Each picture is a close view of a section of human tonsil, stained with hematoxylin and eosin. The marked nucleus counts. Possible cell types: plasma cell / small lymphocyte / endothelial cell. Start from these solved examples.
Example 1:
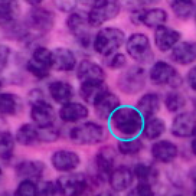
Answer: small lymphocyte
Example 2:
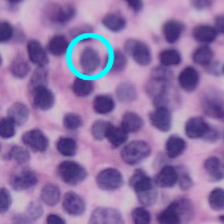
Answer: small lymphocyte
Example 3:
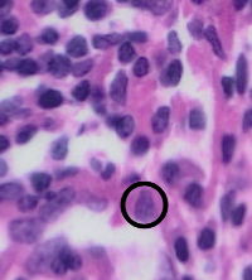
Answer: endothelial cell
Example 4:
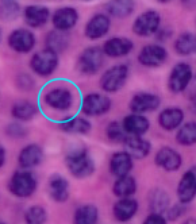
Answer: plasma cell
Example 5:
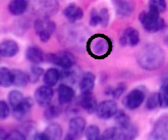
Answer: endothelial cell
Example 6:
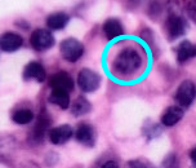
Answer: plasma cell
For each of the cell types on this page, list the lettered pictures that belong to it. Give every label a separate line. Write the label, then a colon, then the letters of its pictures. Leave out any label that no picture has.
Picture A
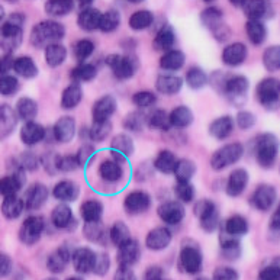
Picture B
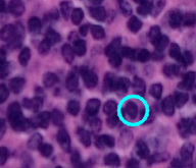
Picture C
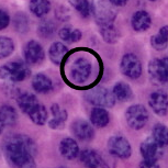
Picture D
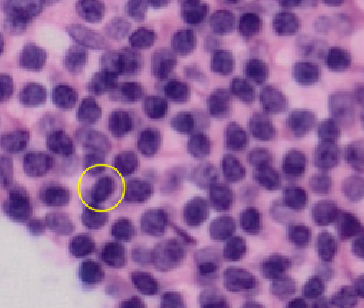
plasma cell: C
small lymphocyte: A, B, D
